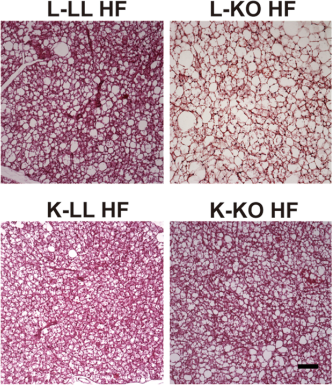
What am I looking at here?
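Fat tissue seen at low magnification in four fields, with its cells packed into a dense, pink-stained mesh. Many small, clear spaces of unequal size, where lipid was dissolved, fill the cells and give the tissue a foamy look; in some fields the spaces are small and the pink cytoplasm abundant, in others larger clear vacuoles dominate and the tissue looks paler. Individual cell borders and nuclei are hard to resolve at this scale, so the tissue architecture, rather than single cells, is what can be judged.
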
